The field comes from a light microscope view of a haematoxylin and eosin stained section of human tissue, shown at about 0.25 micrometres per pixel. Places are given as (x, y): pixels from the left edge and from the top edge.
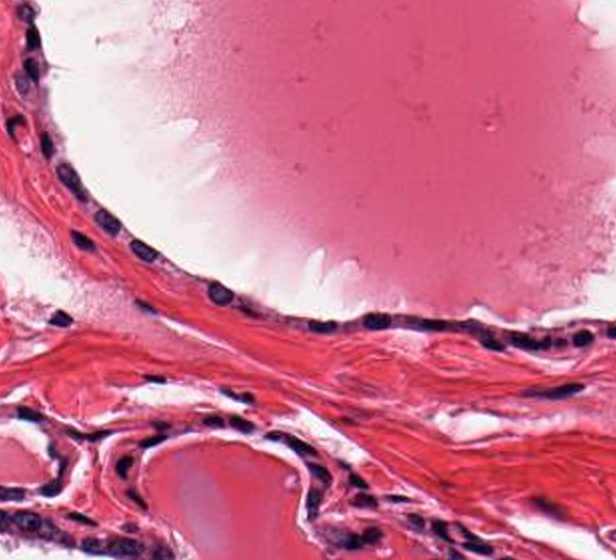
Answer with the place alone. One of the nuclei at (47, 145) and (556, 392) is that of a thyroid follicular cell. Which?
(47, 145)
